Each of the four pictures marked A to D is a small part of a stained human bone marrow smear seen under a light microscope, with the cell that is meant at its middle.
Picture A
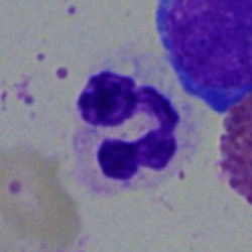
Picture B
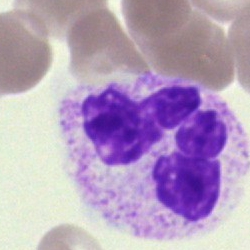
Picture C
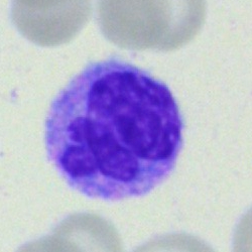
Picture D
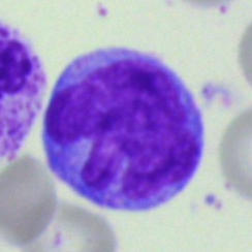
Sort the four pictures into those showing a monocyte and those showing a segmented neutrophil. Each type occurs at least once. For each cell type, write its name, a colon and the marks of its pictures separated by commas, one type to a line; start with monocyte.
monocyte: C, D
segmented neutrophil: A, B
